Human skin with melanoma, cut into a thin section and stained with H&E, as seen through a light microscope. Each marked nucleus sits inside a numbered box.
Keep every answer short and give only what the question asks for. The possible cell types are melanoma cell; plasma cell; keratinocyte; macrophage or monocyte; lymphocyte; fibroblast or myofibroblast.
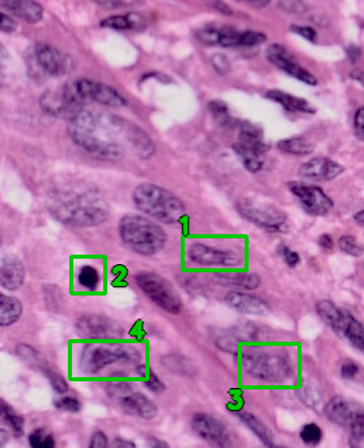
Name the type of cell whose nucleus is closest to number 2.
melanoma cell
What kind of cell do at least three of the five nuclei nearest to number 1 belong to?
melanoma cell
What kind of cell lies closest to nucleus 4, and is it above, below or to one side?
a melanoma cell; above nucleus 4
